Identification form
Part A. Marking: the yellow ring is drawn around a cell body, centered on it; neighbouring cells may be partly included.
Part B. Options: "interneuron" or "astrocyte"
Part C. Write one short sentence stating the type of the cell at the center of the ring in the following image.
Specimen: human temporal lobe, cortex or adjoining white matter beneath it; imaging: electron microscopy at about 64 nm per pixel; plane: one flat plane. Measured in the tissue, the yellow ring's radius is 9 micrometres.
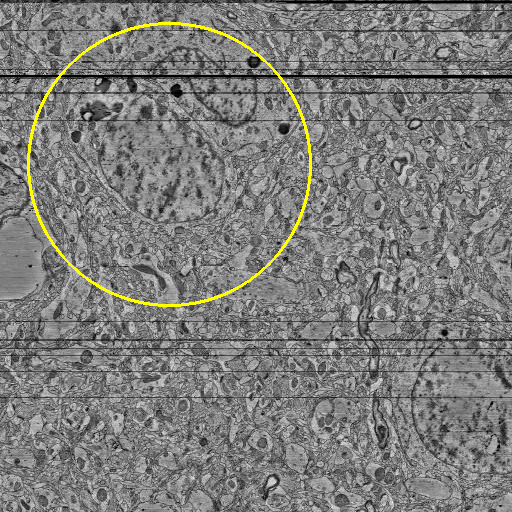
The center of the ring holds an interneuron.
